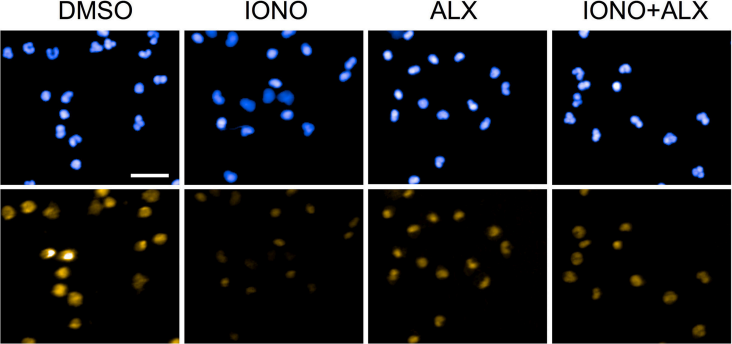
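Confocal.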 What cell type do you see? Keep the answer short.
Neutrophils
